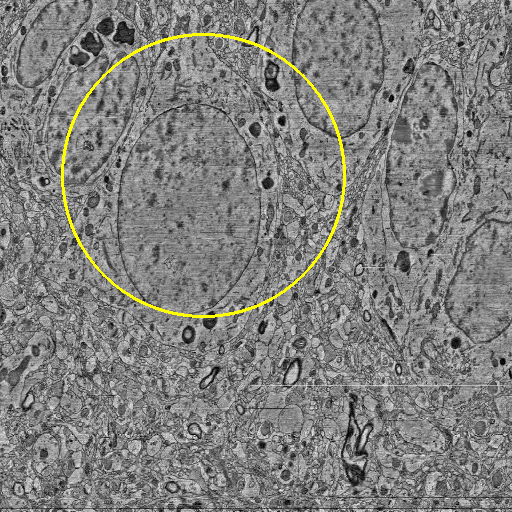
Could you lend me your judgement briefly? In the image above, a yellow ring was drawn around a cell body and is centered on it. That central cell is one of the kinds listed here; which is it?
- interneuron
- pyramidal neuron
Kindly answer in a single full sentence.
Going by the list, a pyramidal neuron is the kind at the ring's center in the picture.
